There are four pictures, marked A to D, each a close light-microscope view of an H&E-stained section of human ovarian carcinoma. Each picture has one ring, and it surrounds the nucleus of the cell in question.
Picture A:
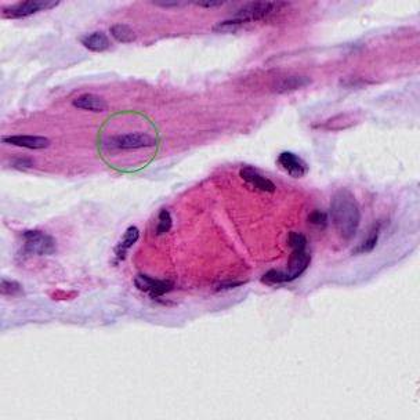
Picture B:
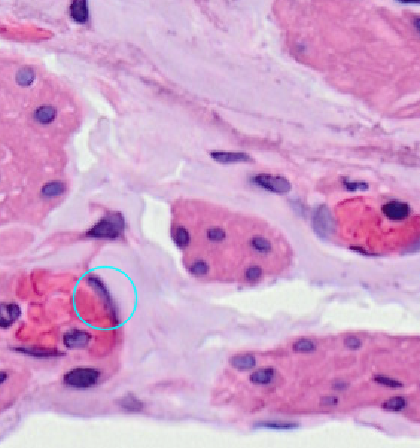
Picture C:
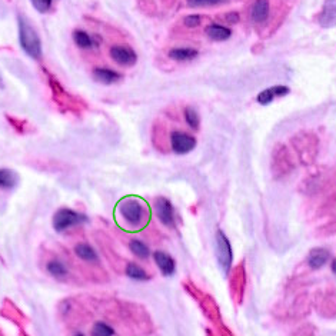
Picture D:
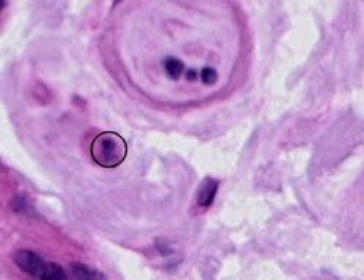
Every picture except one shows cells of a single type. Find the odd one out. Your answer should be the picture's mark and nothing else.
B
